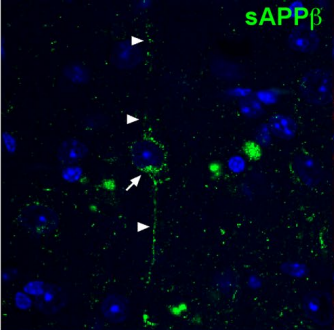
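One cell body near the centre is ringed by fine green puncta around its round nucleus. From it a thin dotted green line runs up and down the field as a long process. A few bright green clumps lie elsewhere among the nuclei. Most other nuclei have little or no green around them.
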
